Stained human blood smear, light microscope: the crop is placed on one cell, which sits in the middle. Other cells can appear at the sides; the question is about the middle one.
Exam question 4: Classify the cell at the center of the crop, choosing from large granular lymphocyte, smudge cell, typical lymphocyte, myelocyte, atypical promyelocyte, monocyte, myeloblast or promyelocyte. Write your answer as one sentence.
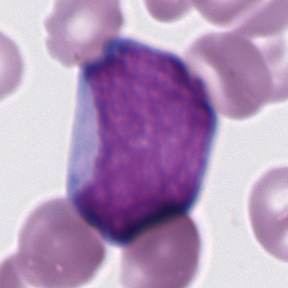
The center cell of this crop is a myeloblast.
